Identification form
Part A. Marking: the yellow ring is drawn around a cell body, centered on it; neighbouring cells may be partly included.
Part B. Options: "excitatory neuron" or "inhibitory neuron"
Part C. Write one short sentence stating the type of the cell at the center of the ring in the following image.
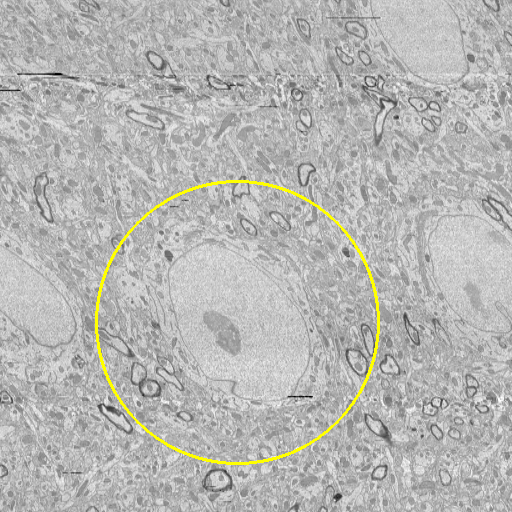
The center of the ring holds an excitatory neuron.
